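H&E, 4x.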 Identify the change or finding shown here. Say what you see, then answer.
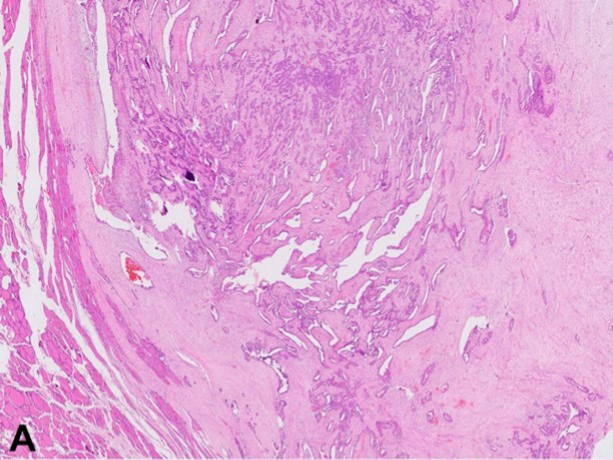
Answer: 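Biphasic growth pattern. A purple area of glandular structures lies beside broad pale pink stroma. The lesion has a fairly sharp border with the surrounding tissue.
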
